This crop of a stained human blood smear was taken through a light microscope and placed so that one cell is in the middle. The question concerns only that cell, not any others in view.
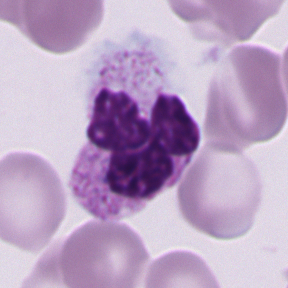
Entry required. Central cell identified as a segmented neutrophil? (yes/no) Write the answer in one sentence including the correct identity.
Yes, the cell in the middle of the view is a segmented neutrophil.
